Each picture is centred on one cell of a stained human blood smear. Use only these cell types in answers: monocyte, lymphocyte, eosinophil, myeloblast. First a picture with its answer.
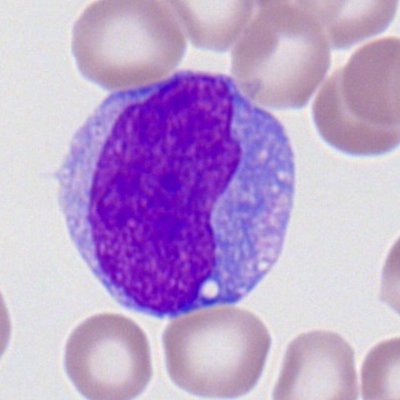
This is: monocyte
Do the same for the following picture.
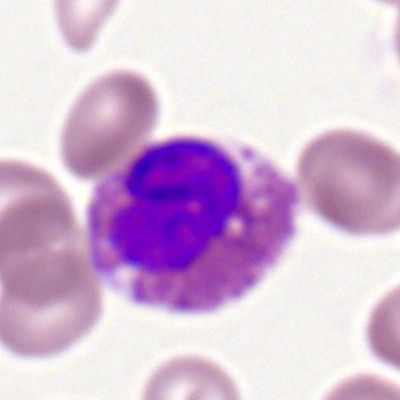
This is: eosinophil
